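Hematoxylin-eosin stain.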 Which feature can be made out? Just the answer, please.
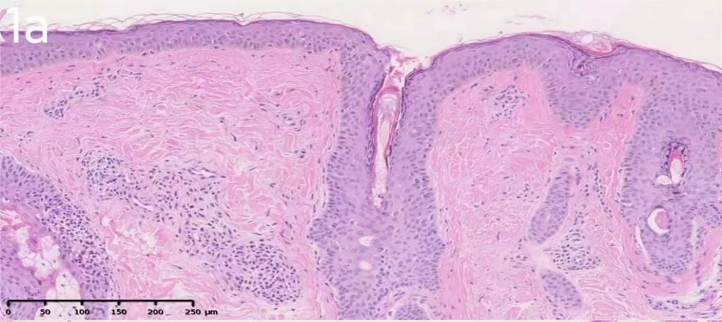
Follicular ostia.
